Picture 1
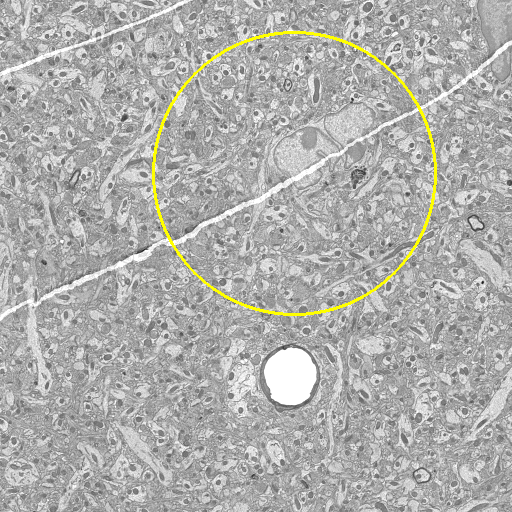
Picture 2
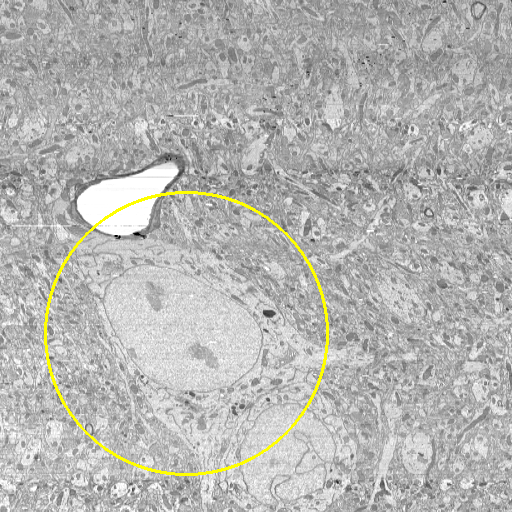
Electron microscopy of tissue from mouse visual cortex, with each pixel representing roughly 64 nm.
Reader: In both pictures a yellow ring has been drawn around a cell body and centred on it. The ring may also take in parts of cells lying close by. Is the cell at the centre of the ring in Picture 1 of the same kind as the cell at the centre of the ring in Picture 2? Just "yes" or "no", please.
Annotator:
no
